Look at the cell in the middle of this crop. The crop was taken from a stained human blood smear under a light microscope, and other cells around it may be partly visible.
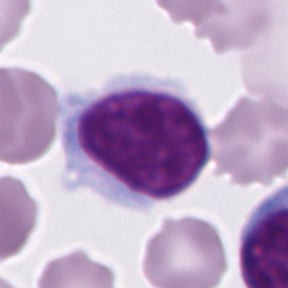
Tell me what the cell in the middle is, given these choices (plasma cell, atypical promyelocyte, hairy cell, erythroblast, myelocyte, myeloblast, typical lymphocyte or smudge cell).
hairy cell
